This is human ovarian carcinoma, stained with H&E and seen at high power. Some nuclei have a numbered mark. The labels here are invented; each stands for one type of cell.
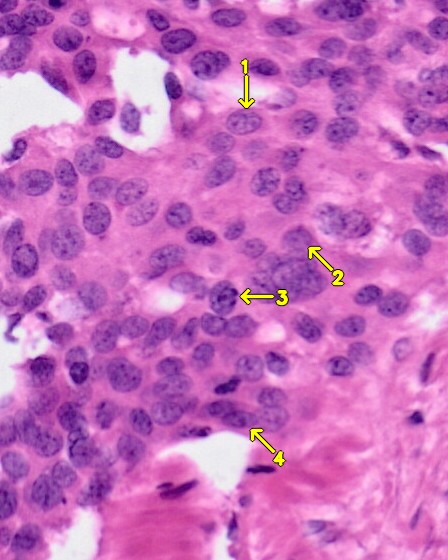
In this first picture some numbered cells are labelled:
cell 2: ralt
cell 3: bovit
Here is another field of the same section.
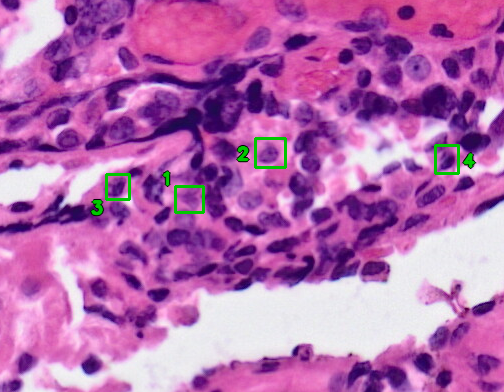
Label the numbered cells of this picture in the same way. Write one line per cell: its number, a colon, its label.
1: ralt
2: bovit
3: bovit
4: bovit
